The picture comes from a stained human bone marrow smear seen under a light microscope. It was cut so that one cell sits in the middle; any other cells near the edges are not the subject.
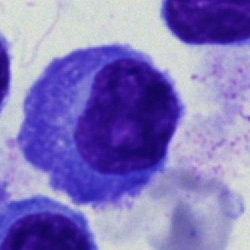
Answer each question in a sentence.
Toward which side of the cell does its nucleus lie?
Toward the right of the cell lies its nucleus.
